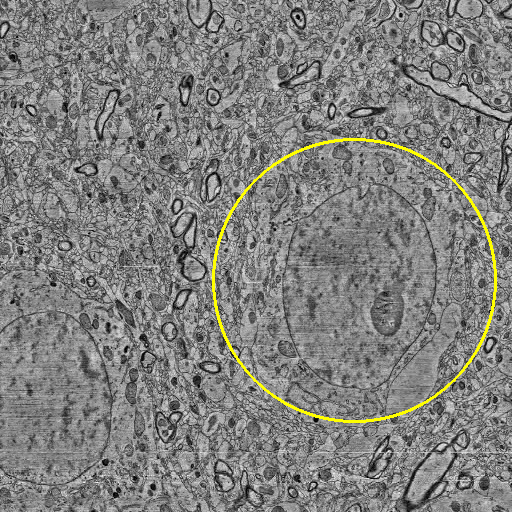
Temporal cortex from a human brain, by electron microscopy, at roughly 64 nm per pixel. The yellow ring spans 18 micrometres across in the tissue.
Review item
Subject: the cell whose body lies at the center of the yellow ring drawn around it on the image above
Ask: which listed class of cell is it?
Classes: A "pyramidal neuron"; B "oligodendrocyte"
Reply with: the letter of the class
A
